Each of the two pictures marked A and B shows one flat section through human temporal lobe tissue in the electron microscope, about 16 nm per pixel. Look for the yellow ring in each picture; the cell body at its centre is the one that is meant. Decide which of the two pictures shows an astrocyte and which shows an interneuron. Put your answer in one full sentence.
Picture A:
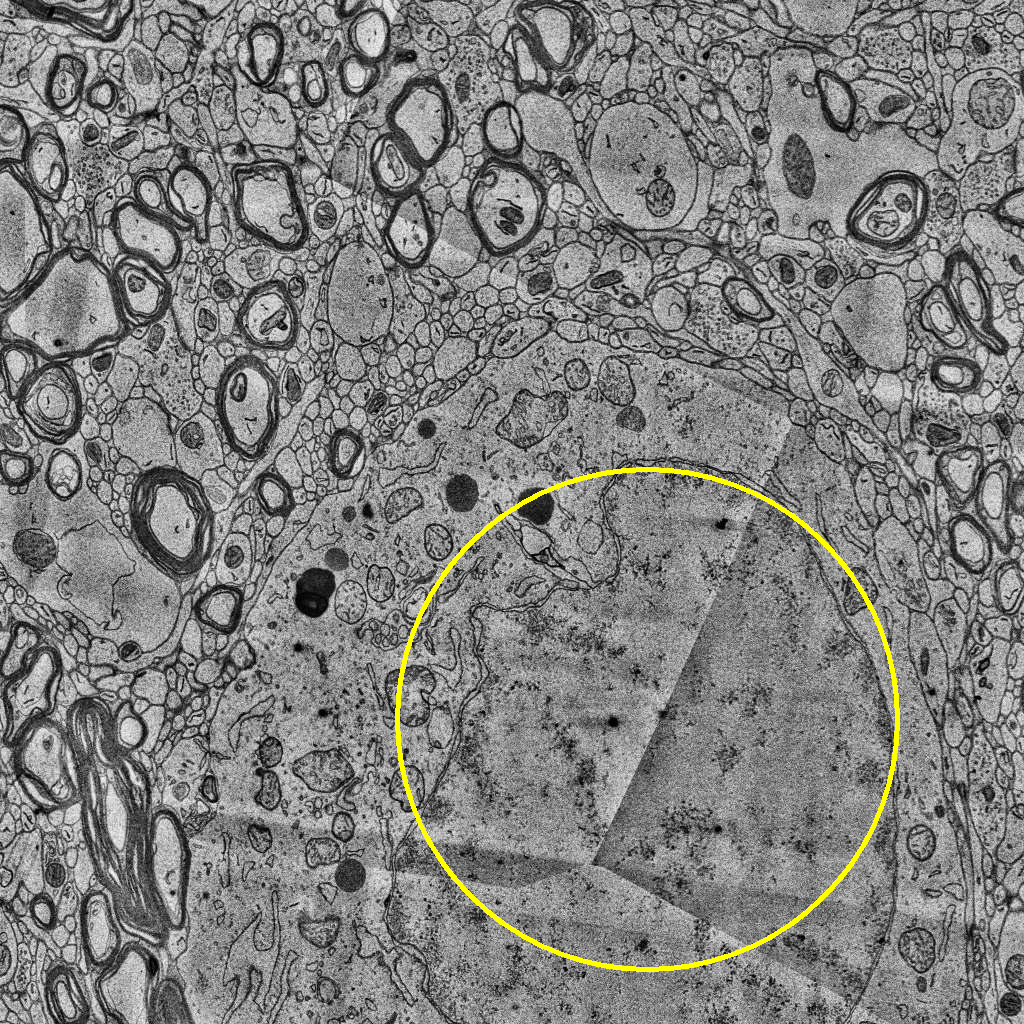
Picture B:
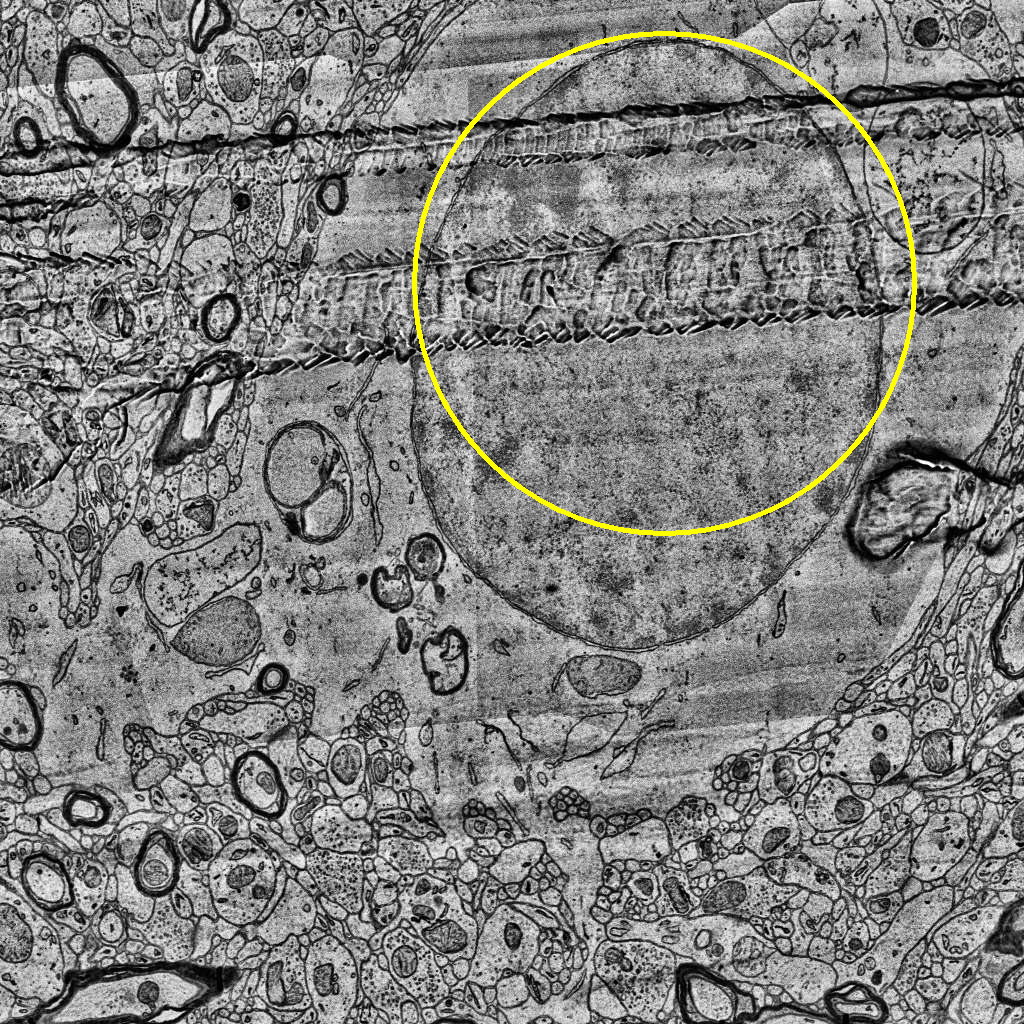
The cell in picture A is an interneuron, and the one in picture B is an astrocyte.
